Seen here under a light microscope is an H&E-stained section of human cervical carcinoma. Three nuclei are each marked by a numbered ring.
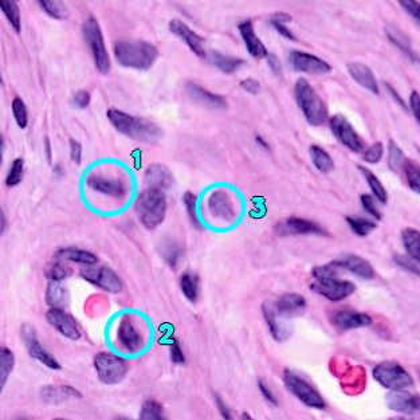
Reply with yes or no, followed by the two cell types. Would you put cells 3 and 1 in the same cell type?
Yes, both of the cells numbered 3 and 1 are fibroblasts.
